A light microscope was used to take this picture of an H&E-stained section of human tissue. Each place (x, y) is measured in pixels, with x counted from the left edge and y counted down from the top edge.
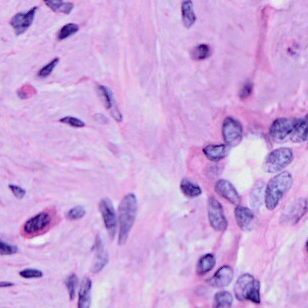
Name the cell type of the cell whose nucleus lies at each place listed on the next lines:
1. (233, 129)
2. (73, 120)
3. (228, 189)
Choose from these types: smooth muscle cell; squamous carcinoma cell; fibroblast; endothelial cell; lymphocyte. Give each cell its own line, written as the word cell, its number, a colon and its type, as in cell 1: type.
cell 1: endothelial cell
cell 2: fibroblast
cell 3: endothelial cell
